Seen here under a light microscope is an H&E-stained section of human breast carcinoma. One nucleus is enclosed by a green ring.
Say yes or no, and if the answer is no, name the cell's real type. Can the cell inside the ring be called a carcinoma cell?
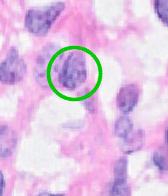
Yes.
